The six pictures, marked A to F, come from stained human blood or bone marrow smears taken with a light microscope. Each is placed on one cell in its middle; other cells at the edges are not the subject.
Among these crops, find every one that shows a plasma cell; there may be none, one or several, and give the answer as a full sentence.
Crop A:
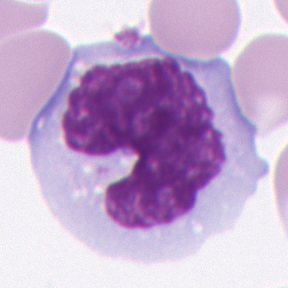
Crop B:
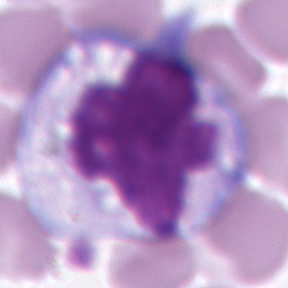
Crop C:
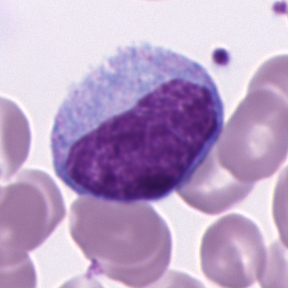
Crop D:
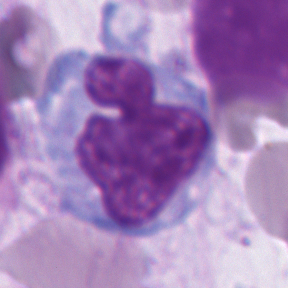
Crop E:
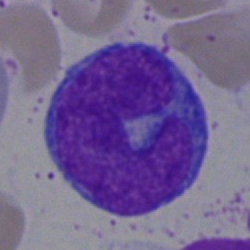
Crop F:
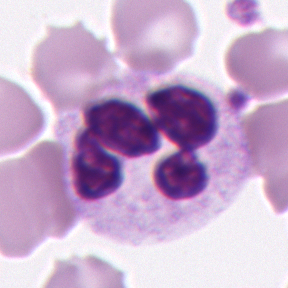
Not even one of these crops contains a plasma cell.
